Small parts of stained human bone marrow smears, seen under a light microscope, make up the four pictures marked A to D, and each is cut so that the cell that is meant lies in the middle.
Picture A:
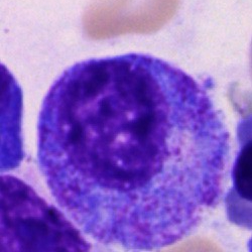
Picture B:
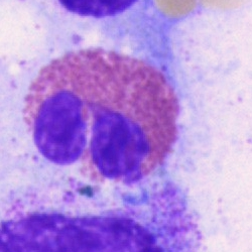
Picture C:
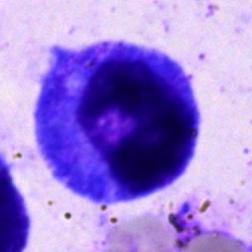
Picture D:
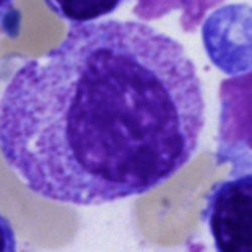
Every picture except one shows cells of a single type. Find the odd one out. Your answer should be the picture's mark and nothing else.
B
